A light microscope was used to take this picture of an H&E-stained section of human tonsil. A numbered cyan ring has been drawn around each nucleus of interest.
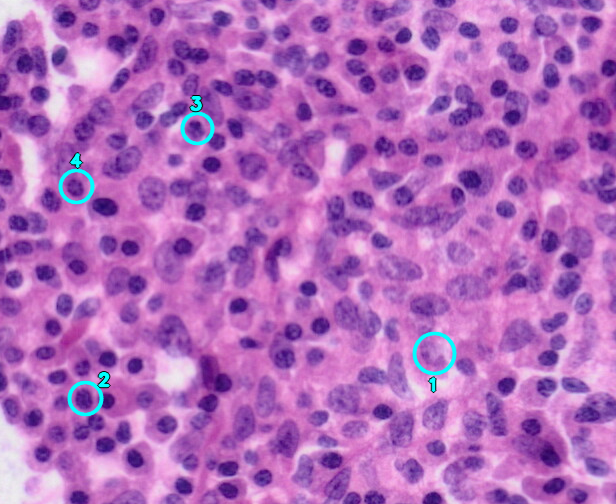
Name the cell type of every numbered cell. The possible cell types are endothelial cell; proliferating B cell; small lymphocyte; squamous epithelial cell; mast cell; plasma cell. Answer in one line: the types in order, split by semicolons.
squamous epithelial cell; plasma cell; plasma cell; plasma cell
